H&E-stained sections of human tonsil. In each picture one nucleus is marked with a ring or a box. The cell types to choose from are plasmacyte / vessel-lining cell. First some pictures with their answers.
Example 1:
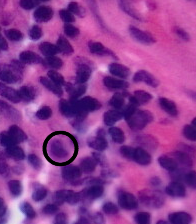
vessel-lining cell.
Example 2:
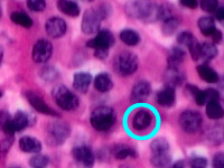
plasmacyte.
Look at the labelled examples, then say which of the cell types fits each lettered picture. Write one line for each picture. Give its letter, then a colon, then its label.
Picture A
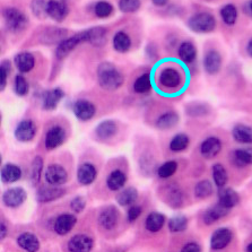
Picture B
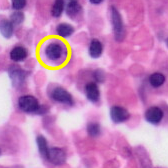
A: plasmacyte.
B: plasmacyte.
